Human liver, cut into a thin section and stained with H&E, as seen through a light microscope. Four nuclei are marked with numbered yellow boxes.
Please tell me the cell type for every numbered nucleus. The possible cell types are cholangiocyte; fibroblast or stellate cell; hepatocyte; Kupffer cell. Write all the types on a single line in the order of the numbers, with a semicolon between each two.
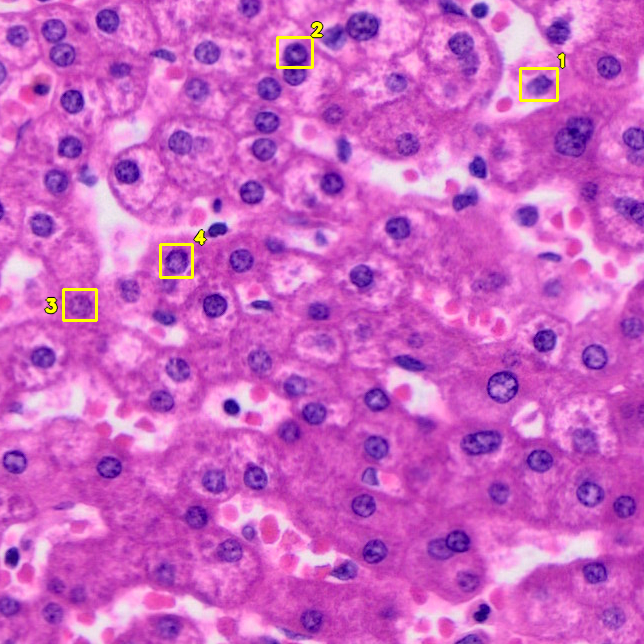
Kupffer cell; hepatocyte; hepatocyte; hepatocyte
